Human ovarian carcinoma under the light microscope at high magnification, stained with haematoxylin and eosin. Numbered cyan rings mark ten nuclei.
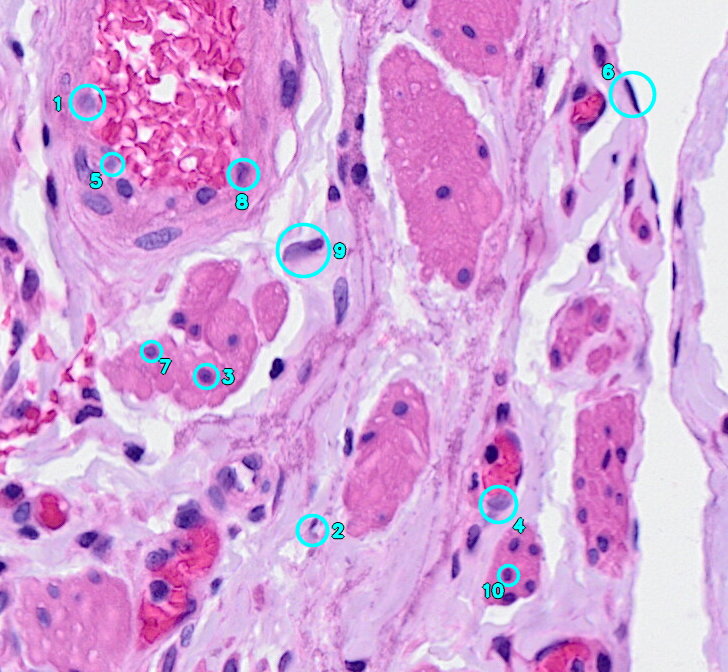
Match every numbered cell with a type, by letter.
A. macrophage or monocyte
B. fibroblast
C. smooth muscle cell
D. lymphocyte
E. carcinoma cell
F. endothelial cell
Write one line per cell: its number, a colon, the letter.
1: F
2: B
3: C
4: F
5: F
6: F
7: C
8: F
9: B
10: C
